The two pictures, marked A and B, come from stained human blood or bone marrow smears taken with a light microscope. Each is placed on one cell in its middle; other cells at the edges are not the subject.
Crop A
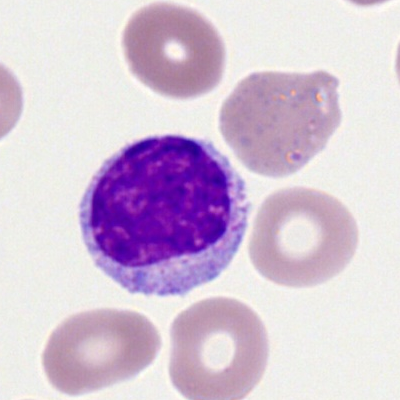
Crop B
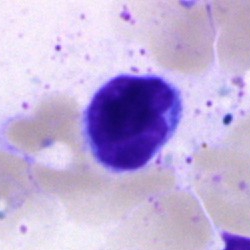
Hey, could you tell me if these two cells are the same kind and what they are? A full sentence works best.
Yes, the centred cells are lymphocytes in both crops.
